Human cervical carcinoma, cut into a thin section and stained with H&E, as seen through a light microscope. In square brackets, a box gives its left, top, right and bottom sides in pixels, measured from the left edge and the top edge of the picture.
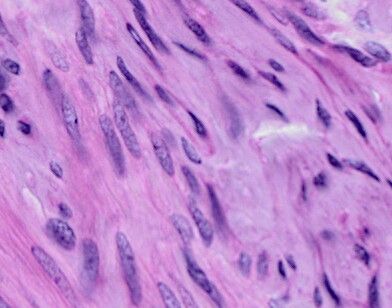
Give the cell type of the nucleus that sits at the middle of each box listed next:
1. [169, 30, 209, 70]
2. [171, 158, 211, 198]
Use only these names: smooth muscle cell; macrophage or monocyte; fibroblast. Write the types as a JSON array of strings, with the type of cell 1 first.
["fibroblast", "smooth muscle cell"]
